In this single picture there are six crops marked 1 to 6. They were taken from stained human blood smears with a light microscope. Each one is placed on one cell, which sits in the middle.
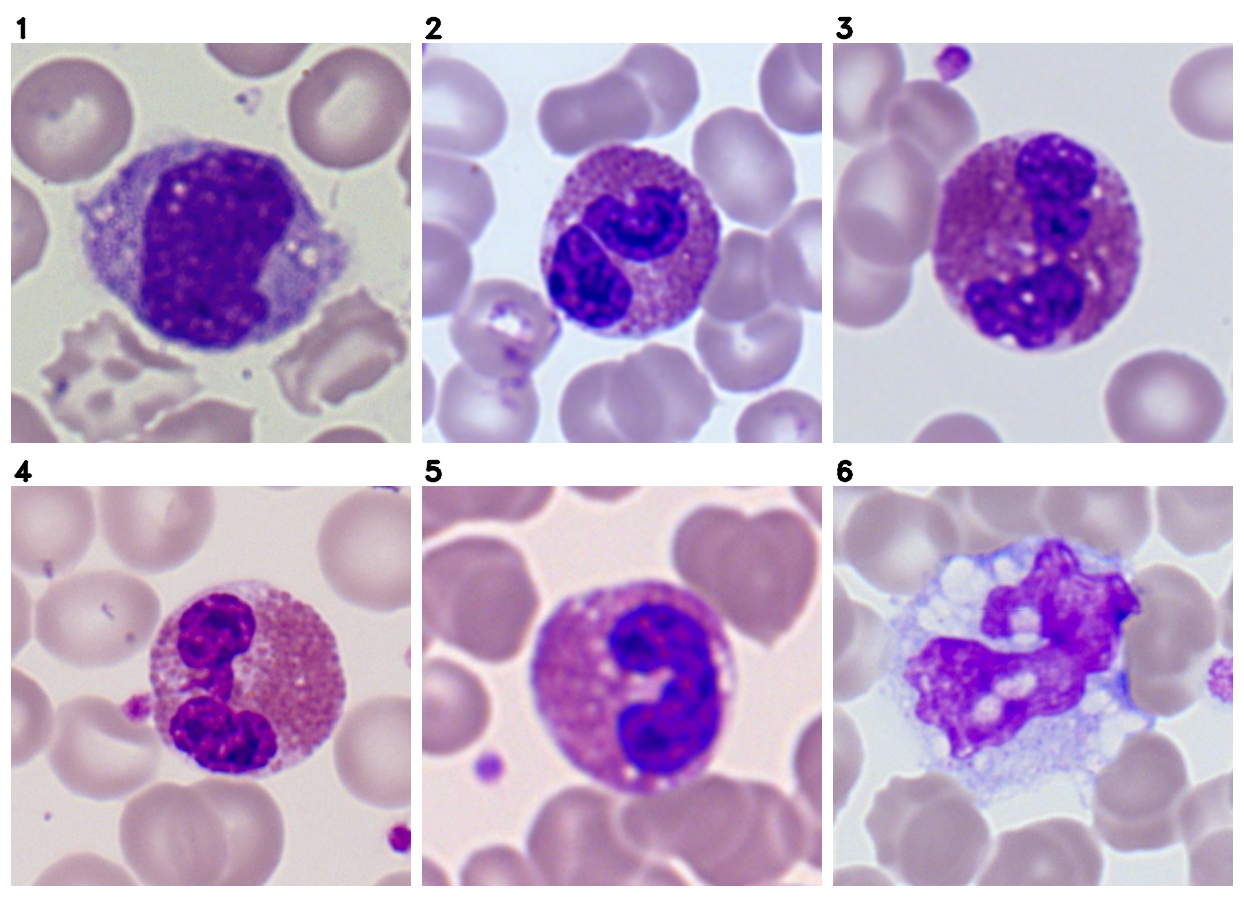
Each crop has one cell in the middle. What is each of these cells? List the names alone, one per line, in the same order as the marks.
monocyte
eosinophil
eosinophil
eosinophil
eosinophil
monocyte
